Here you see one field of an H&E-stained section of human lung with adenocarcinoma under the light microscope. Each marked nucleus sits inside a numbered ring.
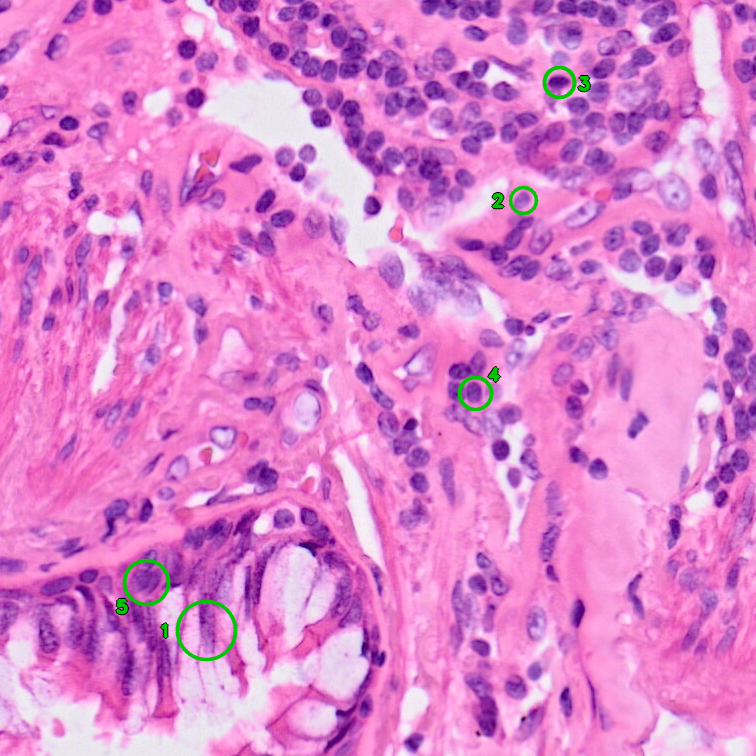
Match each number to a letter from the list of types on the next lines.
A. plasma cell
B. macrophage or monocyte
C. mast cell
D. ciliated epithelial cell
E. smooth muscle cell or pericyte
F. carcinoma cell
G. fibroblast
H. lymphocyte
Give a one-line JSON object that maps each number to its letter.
{"1": "D", "2": "H", "3": "H", "4": "H", "5": "D"}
